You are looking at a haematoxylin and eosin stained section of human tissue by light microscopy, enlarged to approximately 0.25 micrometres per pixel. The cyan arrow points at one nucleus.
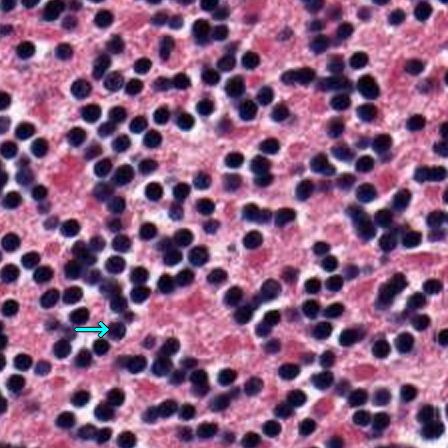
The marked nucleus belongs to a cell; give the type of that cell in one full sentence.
The marked nucleus is part of a cerebellar granule cell.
